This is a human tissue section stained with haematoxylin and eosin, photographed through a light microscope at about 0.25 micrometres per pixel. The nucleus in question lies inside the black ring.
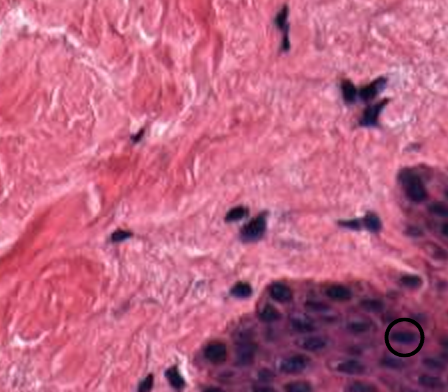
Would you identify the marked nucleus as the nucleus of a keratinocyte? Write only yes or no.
yes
